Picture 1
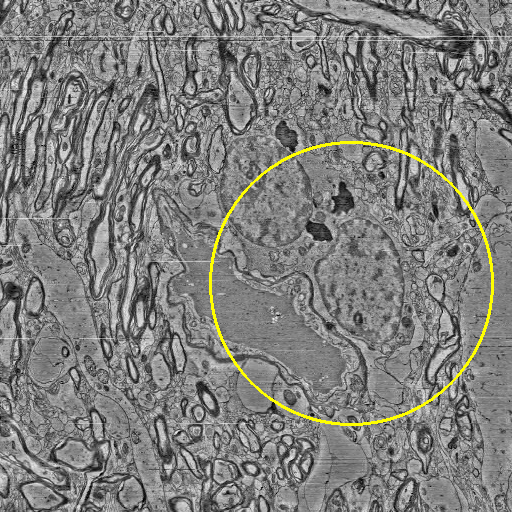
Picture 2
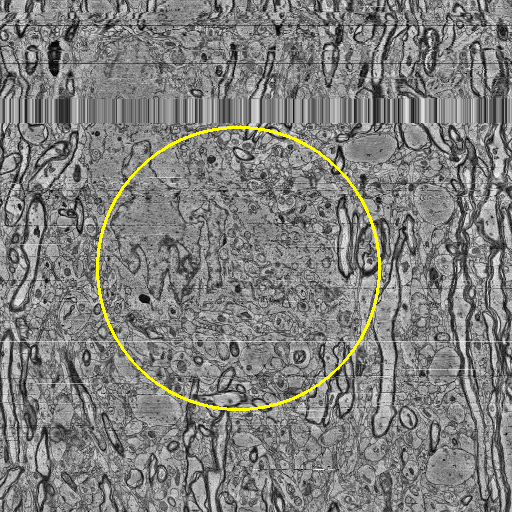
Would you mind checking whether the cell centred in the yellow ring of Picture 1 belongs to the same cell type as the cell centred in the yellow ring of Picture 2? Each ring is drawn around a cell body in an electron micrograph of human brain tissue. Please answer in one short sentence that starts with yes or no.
No, the two cells are of two types.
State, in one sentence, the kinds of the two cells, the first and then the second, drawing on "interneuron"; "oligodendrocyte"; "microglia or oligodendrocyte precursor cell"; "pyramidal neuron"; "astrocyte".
The ring in the second picture is centred on a pyramidal neuron, the ring in the first on an oligodendrocyte.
